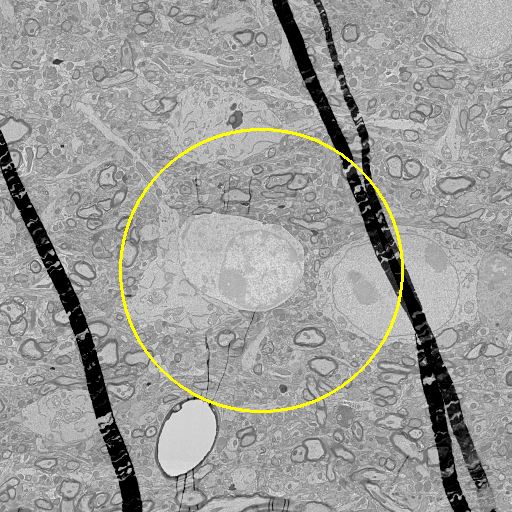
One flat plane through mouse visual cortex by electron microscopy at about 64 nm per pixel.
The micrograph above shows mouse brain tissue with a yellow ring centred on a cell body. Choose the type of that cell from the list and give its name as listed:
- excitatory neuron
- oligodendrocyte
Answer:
oligodendrocyte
